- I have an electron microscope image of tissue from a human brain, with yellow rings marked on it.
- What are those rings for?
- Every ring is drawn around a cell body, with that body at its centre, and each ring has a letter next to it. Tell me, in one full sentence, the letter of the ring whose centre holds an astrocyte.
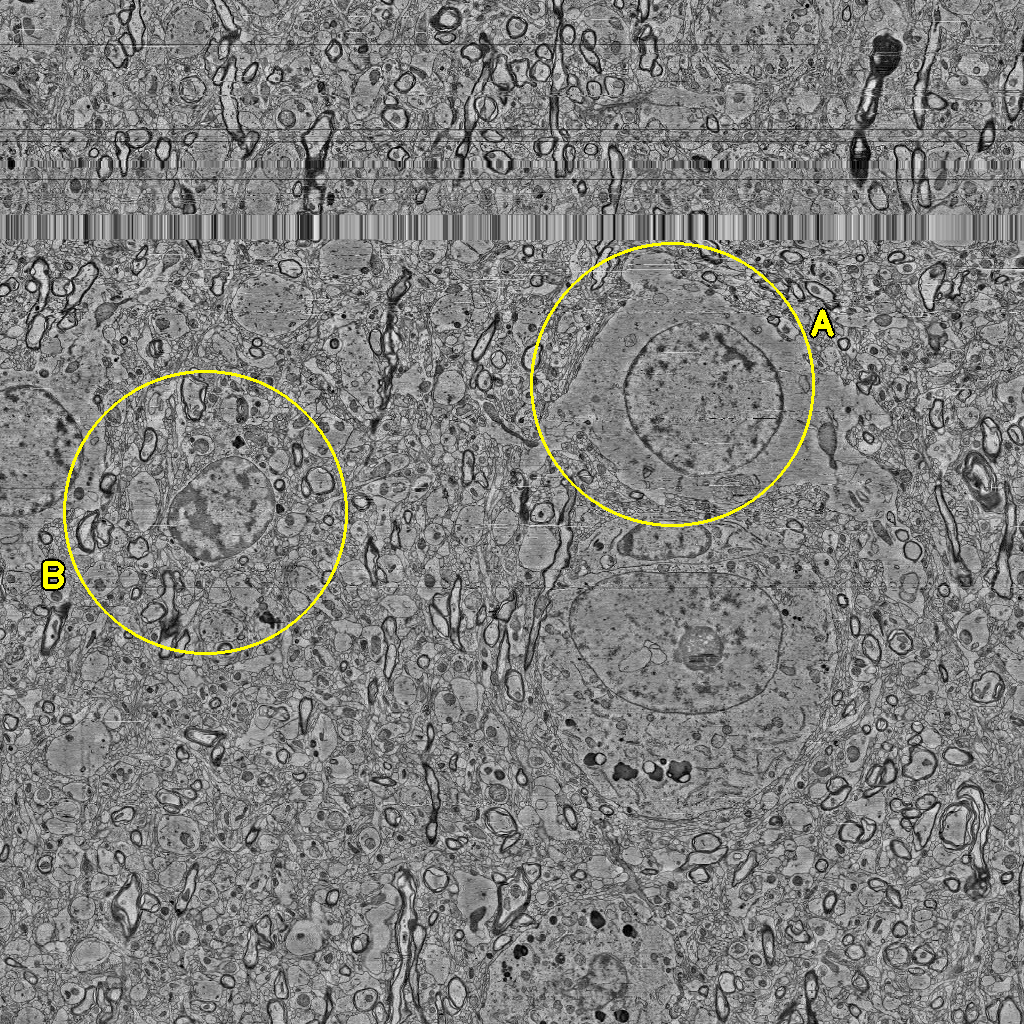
In the picture, the cell asked for sits at the centre of ring A.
